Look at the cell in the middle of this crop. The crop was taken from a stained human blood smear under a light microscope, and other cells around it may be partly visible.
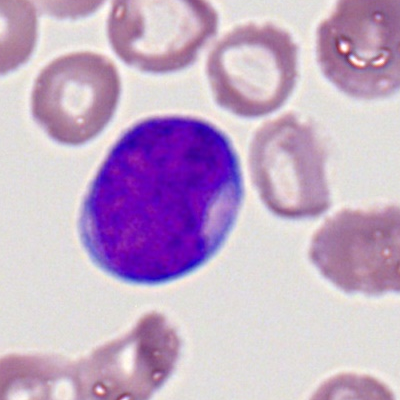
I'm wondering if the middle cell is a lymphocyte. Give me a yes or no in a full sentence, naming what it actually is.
No, the centre cell counts as a blast, not as a lymphocyte.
